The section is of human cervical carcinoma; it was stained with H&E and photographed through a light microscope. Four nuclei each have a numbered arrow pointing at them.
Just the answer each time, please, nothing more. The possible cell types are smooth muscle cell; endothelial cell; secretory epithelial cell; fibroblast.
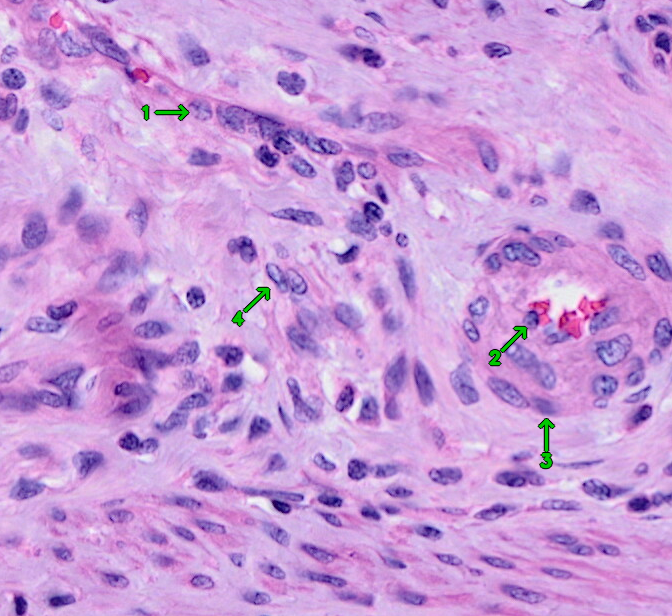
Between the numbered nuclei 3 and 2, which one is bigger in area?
3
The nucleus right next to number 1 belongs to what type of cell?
endothelial cell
